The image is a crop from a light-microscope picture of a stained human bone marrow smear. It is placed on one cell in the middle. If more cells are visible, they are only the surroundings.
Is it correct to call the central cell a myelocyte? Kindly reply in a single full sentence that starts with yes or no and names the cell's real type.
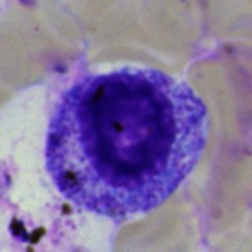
Yes, the cell in the middle has the identity of a myelocyte.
